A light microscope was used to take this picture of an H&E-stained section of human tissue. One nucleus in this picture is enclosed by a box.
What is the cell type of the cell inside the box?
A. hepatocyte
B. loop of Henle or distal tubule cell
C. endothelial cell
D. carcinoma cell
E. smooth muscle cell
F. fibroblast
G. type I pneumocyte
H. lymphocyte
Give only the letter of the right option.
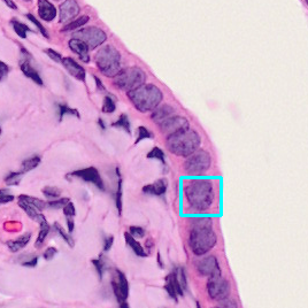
D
